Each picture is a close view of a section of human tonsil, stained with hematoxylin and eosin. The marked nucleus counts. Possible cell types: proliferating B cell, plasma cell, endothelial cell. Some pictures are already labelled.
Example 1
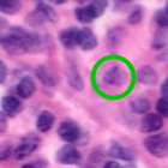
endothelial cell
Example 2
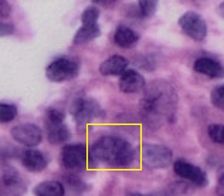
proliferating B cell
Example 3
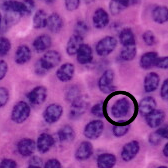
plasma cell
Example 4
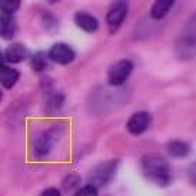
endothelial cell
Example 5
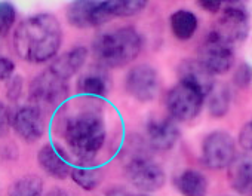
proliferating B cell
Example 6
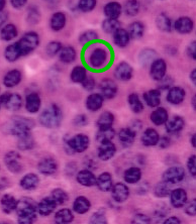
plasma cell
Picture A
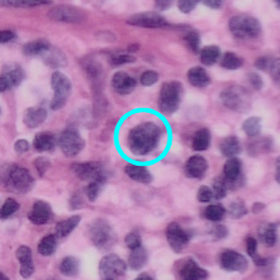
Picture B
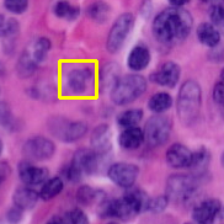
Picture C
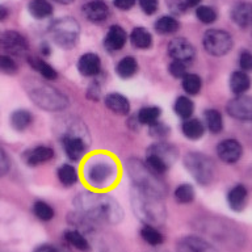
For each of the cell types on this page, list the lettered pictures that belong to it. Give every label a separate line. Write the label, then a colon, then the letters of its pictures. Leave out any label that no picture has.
proliferating B cell: A
endothelial cell: B, C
